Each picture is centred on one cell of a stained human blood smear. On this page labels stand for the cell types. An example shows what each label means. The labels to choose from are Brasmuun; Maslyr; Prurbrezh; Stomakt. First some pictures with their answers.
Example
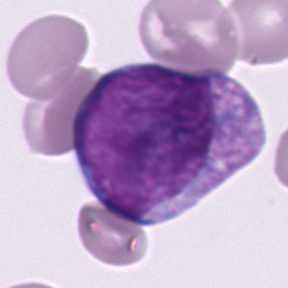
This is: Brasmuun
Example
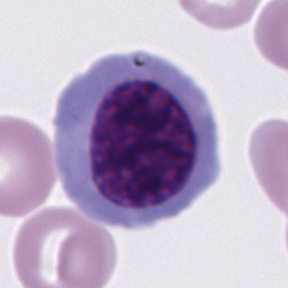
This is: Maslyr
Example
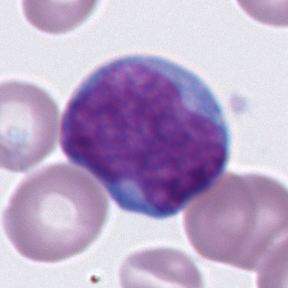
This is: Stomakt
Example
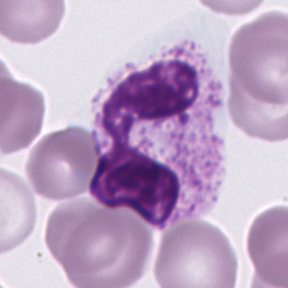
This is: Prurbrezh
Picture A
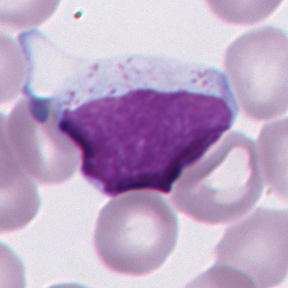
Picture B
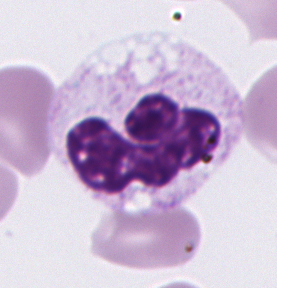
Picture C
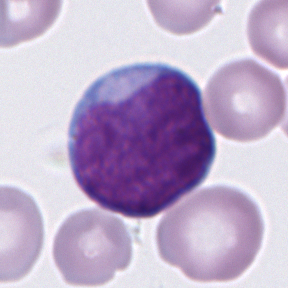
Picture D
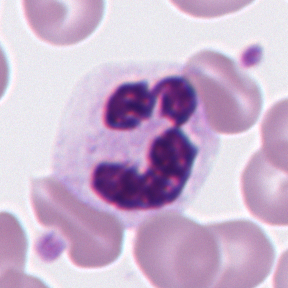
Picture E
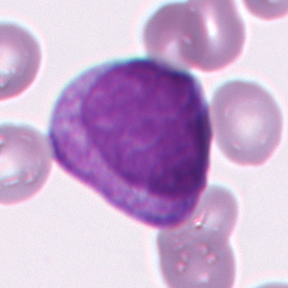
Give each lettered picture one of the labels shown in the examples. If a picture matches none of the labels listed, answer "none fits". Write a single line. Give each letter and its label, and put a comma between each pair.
A none fits, B Prurbrezh, C Stomakt, D Prurbrezh, E Brasmuun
